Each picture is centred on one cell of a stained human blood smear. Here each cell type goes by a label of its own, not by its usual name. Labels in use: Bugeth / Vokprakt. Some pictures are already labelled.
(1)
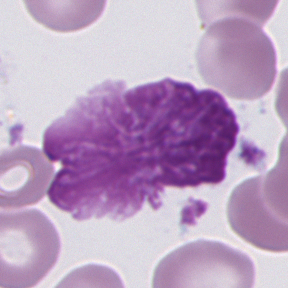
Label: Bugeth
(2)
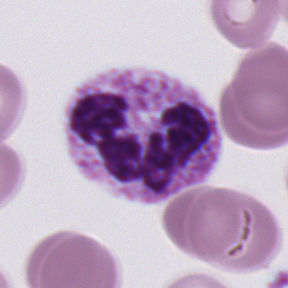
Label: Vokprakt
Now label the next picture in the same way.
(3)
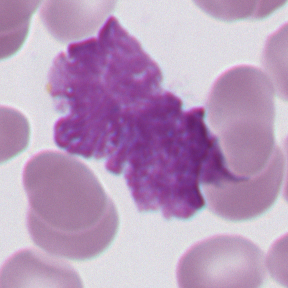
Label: Bugeth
